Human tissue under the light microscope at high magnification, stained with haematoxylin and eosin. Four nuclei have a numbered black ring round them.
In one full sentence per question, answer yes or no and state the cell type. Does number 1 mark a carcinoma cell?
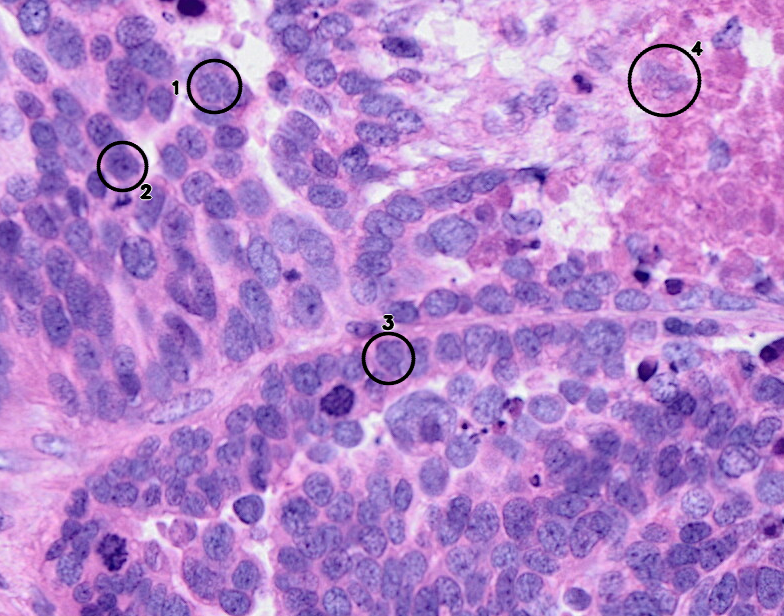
Yes, cell 1 is a carcinoma cell in this tissue section.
